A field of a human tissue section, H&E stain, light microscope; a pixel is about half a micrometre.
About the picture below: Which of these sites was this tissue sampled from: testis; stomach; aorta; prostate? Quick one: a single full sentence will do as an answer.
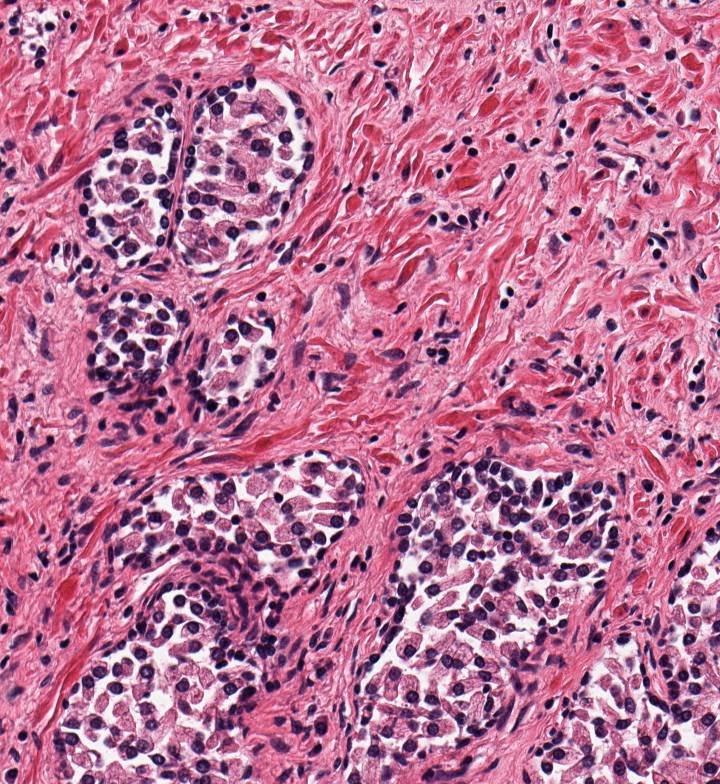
From the prostate was taken the tissue in this section.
